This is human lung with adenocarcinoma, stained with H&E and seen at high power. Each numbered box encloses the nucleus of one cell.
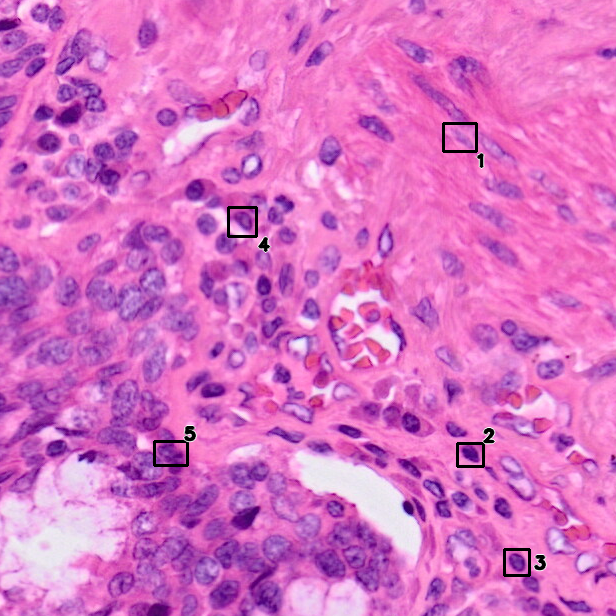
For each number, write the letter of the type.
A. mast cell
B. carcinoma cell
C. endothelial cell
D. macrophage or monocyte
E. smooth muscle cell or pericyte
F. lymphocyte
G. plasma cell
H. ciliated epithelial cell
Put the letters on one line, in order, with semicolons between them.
E; F; A; G; H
